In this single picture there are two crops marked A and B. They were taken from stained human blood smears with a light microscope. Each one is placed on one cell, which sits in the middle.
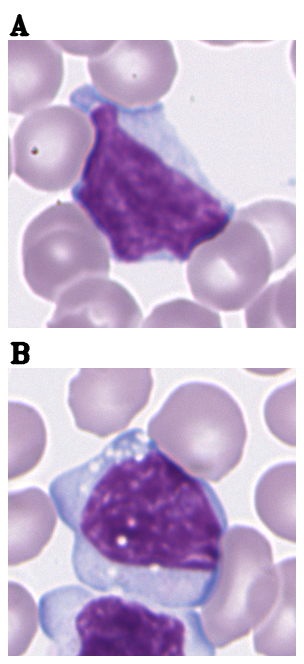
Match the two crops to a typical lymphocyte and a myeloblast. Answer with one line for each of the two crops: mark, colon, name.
A: typical lymphocyte
B: myeloblast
